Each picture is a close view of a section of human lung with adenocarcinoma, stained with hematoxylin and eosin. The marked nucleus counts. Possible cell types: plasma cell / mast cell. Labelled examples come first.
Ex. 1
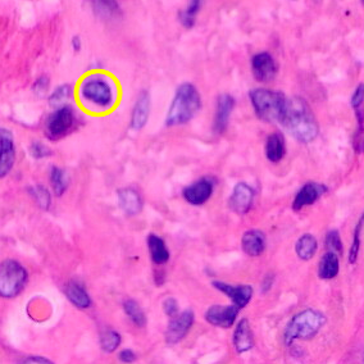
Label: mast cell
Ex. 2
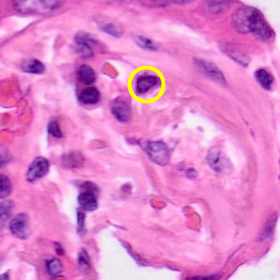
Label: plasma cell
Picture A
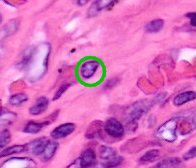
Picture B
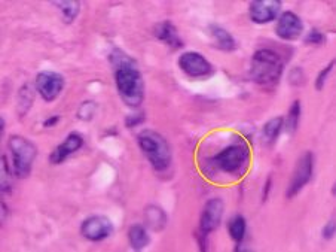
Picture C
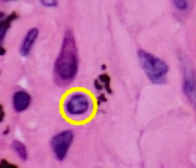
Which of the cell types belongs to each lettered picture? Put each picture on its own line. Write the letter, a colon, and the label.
A: mast cell
B: plasma cell
C: mast cell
